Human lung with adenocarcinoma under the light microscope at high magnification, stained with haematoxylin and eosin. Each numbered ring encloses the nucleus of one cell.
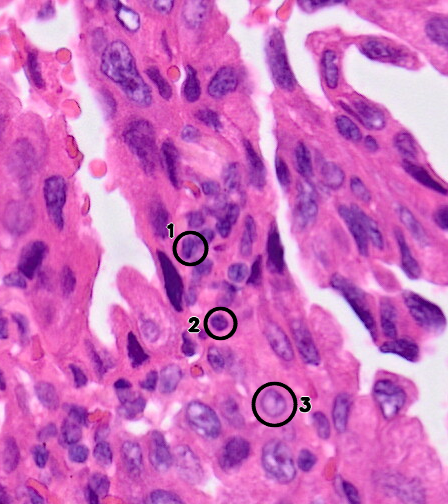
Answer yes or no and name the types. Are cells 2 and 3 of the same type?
No, cell 2 is a lymphocyte and cell 3 is a macrophage or monocyte.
